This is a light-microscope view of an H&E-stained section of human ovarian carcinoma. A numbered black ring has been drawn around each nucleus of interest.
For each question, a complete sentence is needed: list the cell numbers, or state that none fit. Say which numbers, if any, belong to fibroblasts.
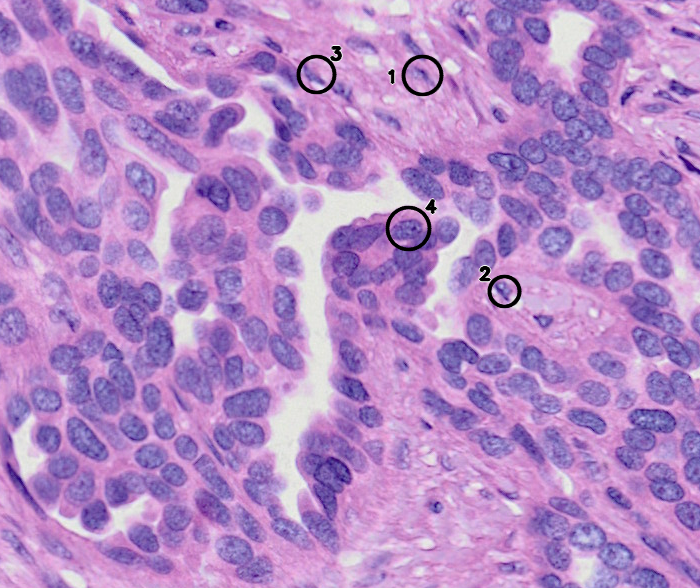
The cells 1, 2 and 3 in this section are fibroblasts.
